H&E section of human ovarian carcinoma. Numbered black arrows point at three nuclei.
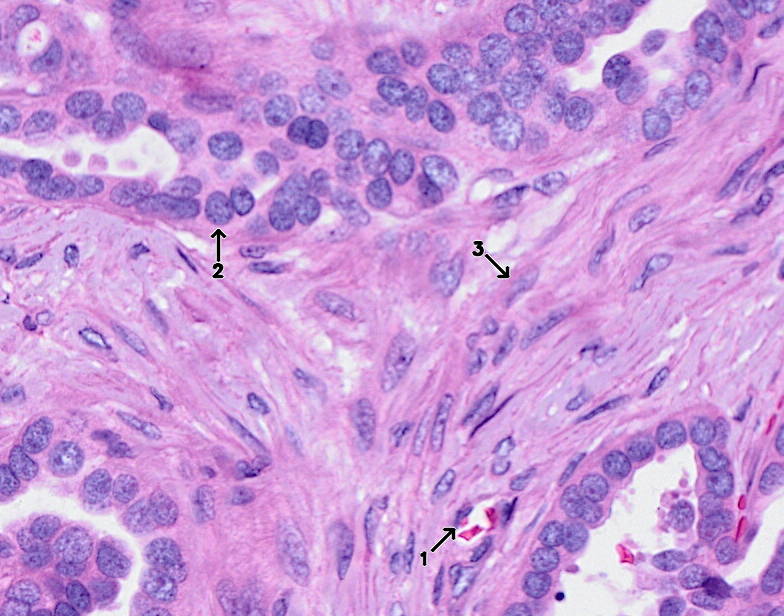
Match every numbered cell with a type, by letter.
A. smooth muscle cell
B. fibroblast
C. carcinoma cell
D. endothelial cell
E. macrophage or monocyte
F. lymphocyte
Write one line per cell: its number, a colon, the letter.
1: D
2: C
3: B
